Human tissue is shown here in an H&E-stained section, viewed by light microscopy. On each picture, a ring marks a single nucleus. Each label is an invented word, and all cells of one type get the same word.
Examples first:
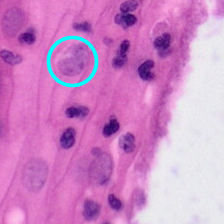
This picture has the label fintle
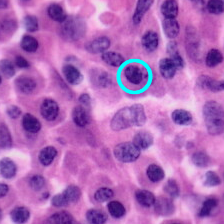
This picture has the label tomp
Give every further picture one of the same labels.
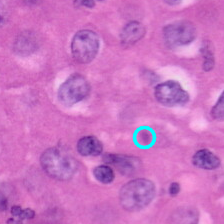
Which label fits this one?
fintle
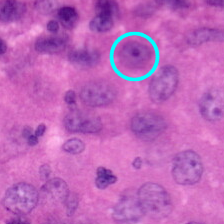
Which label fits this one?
fintle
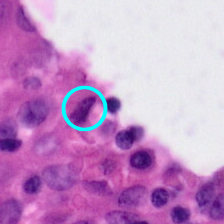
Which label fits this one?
fintle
